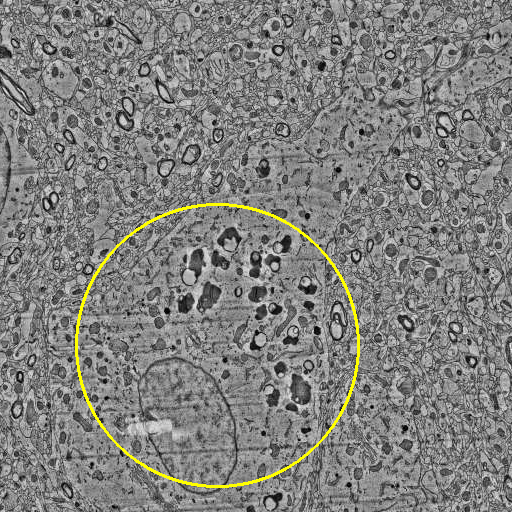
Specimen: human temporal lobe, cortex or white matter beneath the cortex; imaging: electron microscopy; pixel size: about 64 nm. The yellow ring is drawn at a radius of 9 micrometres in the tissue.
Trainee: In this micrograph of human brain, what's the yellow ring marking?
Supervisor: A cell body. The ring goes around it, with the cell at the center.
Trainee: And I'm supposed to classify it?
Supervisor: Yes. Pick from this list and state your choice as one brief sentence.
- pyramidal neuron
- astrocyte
The cell at the ring's center is a pyramidal neuron.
